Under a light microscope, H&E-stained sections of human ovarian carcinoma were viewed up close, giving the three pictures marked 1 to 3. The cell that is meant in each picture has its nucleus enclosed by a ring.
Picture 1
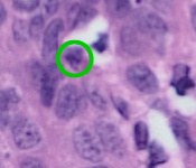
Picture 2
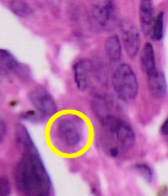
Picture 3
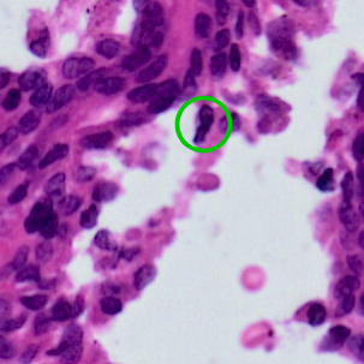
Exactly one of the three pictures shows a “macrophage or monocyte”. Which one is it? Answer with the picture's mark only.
3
